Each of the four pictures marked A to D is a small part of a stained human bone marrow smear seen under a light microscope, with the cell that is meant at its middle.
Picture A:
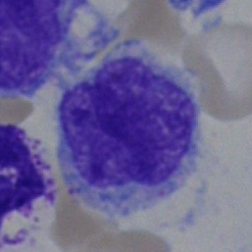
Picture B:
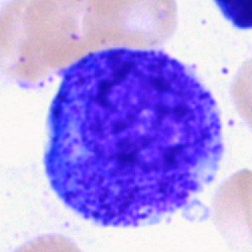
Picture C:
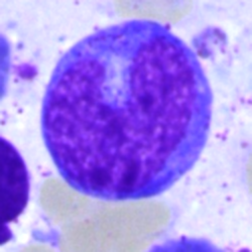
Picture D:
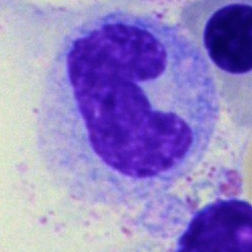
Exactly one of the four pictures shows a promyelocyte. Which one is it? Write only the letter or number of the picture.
B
